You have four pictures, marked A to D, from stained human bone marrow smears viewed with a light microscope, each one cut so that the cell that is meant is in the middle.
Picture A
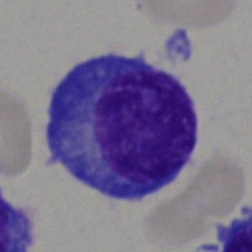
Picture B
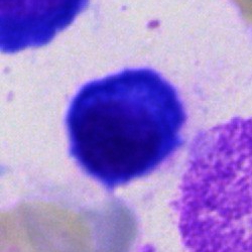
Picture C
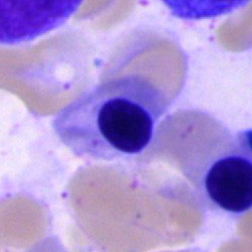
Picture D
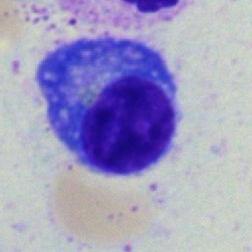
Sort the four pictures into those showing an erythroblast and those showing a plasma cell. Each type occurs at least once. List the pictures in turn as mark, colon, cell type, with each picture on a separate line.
A: plasma cell
B: plasma cell
C: erythroblast
D: plasma cell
